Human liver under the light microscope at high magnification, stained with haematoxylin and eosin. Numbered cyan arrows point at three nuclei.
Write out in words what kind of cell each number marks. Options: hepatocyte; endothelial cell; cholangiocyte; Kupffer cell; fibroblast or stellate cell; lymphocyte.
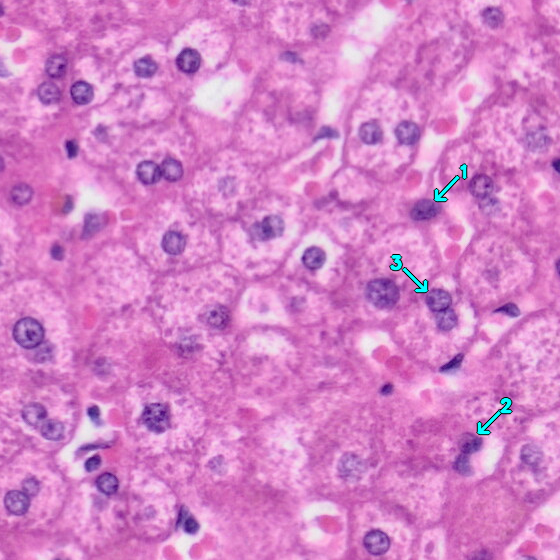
Cells 1 and 2 are Kupffer cells. Cell 3 is a hepatocyte.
